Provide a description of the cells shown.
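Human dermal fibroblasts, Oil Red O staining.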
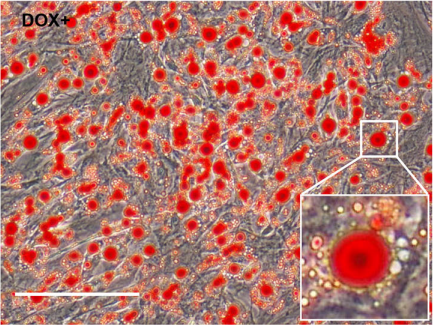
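Many cells are packed with round red droplets of varied size, some of them large and single, others small and clustered around them. Between the droplet-laden cells lie elongated, spindle-shaped cells without red droplets. The enlarged inset shows one cell with a single big central droplet ringed by smaller droplets.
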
